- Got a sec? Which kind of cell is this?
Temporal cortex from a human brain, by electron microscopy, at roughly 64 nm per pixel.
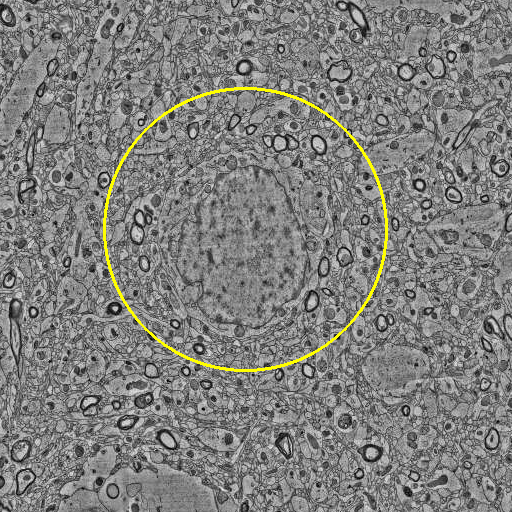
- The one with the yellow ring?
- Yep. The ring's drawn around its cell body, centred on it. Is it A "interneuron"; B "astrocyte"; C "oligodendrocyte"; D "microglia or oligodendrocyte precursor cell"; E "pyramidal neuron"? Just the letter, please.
A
